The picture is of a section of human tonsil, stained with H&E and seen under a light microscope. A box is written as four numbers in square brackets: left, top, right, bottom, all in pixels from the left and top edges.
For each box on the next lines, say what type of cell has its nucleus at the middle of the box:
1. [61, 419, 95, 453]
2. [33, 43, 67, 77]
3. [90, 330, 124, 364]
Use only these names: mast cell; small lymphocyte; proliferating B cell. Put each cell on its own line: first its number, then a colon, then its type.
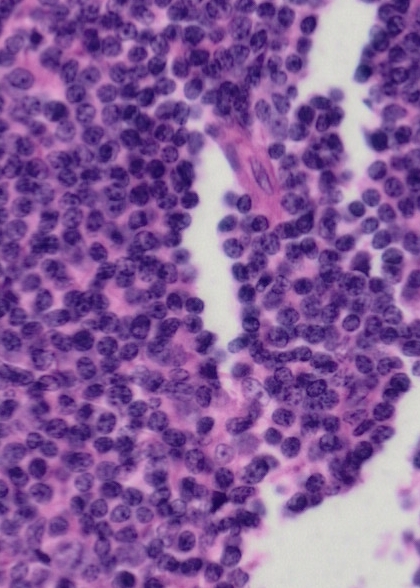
1: small lymphocyte
2: proliferating B cell
3: small lymphocyte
